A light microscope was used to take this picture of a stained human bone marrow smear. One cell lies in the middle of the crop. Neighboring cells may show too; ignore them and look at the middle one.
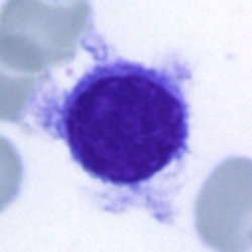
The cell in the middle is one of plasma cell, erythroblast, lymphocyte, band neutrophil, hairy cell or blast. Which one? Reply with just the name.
hairy cell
